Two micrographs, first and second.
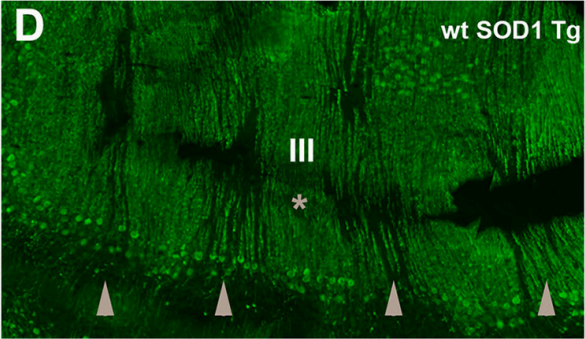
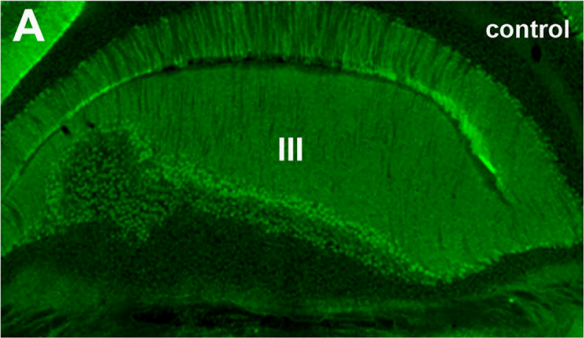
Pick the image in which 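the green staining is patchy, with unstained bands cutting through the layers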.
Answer: The first image.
